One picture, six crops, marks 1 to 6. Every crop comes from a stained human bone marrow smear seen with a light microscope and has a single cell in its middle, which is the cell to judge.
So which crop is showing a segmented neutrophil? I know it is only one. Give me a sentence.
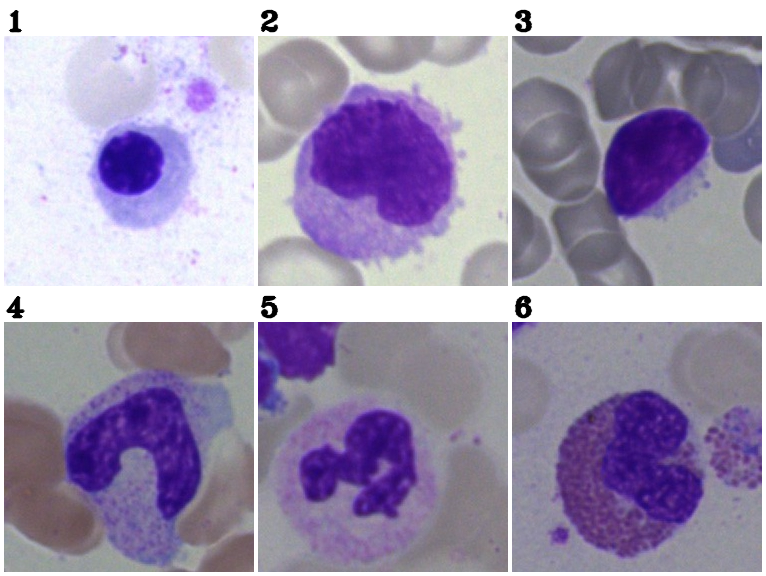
When the crops are compared, crop 5 is the one showing a segmented neutrophil.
